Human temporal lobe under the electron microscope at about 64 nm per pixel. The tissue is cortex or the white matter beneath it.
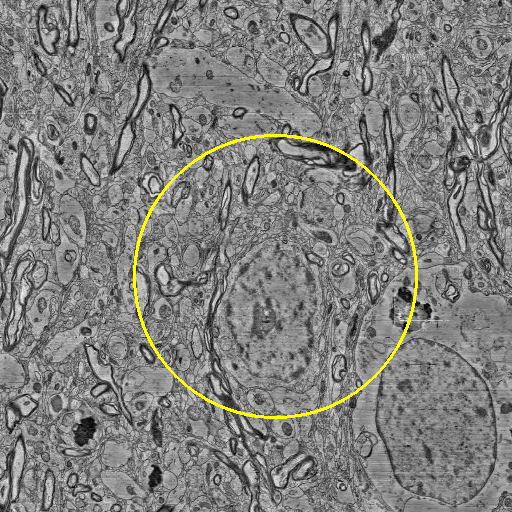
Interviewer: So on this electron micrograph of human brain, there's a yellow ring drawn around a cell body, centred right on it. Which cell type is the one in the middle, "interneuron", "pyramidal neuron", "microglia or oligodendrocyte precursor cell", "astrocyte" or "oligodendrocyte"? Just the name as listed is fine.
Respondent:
interneuron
